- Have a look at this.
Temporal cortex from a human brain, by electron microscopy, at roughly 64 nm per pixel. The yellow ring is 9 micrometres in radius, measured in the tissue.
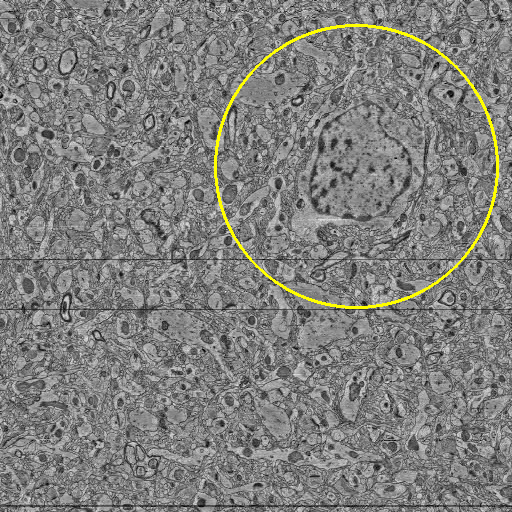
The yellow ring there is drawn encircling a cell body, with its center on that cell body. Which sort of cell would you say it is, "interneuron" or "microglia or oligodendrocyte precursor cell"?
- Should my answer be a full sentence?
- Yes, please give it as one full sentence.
For this picture, a microglial cell or oligodendrocyte precursor cell is the cell where the yellow ring has its center.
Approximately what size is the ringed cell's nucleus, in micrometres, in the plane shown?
Roughly 7 micrometers across in this plane.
